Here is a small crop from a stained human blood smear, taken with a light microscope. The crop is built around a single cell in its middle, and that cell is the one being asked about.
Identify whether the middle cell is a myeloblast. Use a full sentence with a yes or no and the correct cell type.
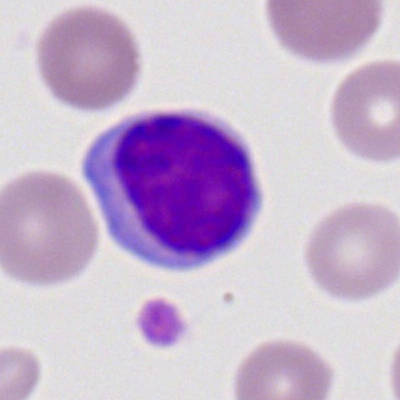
No, the centred cell is a lymphocyte instead of a myeloblast.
